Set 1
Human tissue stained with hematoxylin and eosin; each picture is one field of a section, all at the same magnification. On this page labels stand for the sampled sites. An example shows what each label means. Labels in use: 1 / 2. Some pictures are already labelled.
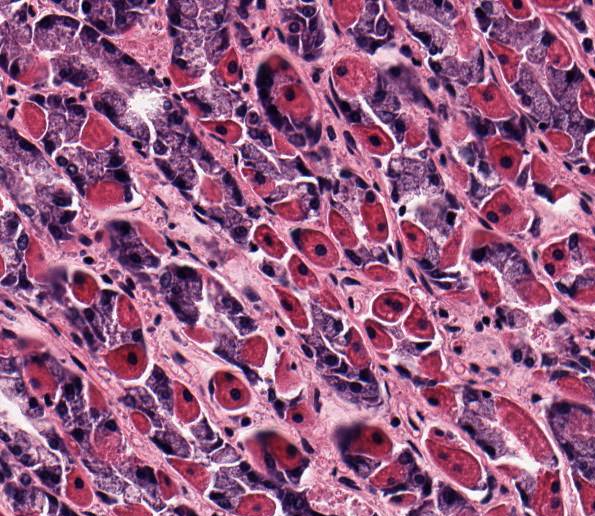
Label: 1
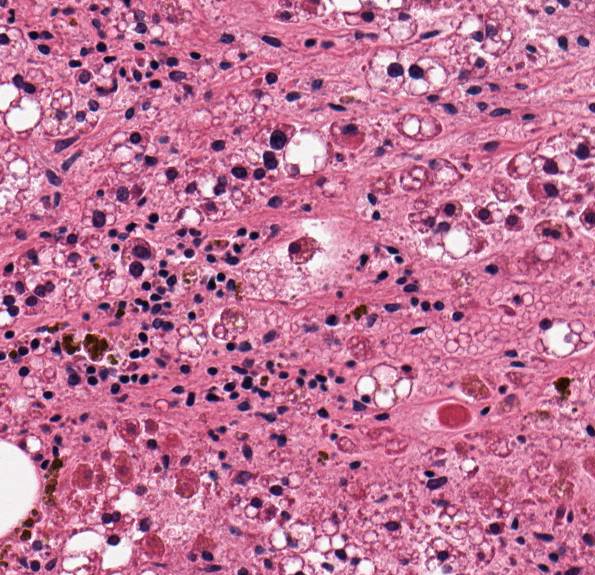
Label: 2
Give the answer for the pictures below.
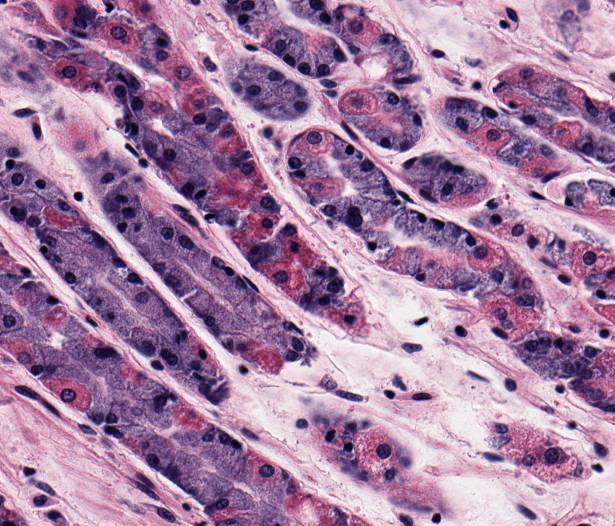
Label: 1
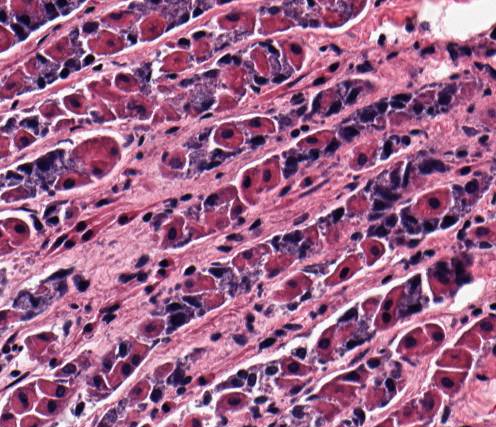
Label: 1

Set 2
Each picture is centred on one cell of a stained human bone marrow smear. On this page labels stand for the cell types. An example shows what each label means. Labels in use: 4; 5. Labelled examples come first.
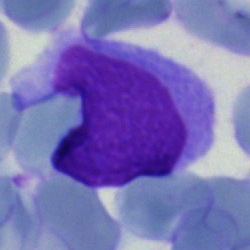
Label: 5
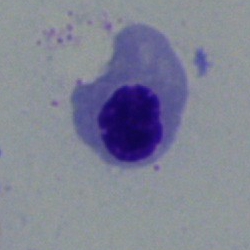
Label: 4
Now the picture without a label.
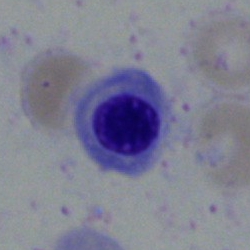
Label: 4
